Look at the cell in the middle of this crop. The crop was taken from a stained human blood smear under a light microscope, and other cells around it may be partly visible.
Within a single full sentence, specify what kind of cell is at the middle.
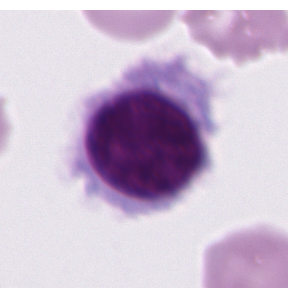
In this crop, the cell at the very middle is a hairy cell.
